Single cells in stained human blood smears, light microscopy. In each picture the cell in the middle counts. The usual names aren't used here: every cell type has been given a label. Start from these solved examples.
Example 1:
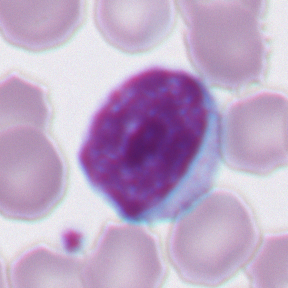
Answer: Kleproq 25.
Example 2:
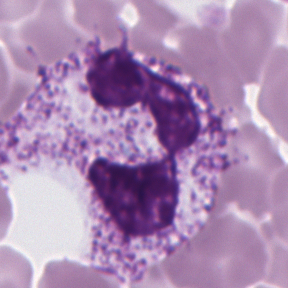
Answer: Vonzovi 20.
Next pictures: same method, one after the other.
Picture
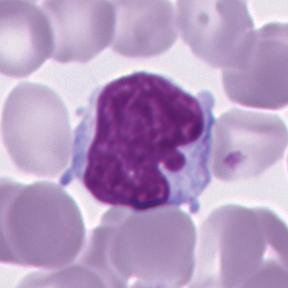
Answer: Kleproq 25.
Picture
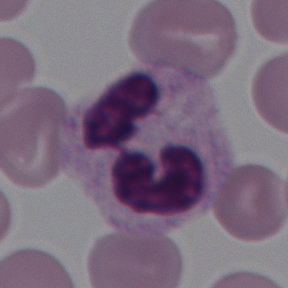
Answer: Vonzovi 20.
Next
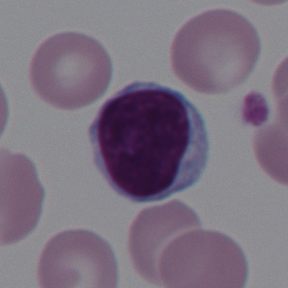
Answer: Kleproq 25.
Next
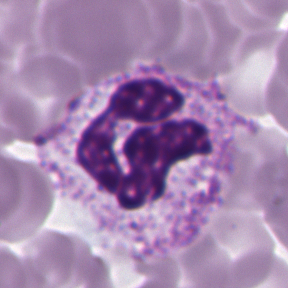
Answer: Vonzovi 20.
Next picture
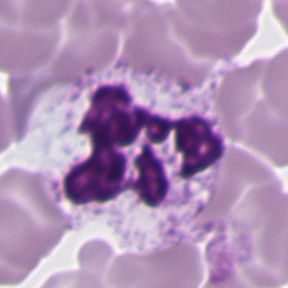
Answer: Vonzovi 20.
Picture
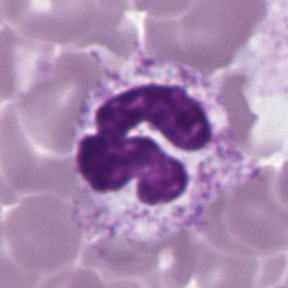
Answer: Vonzovi 20.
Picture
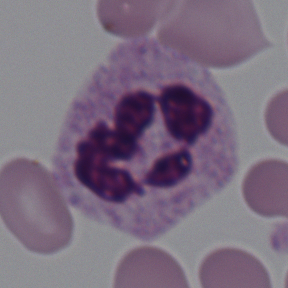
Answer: Vonzovi 20.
